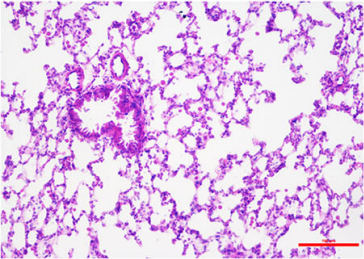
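This is lung tissue with a lacy network of thin alveolar walls surrounding wide, open air spaces. The alveolar septa are delicate, pink, and carry scattered purple nuclei with few cells crowding them. On the left side a small airway is seen in cross-section, lined by a folded layer of epithelial cells with purple nuclei. The air spaces are clear and mostly free of cells or pink fluid. Overall the architecture is open and regular.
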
